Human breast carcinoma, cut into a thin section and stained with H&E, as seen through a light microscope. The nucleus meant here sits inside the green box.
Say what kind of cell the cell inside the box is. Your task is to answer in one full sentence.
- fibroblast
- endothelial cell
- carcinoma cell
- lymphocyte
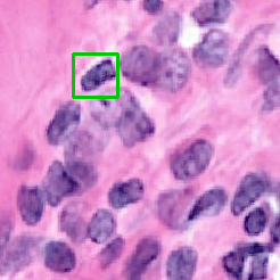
So far as cell type goes, the cell inside the box is a lymphocyte.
